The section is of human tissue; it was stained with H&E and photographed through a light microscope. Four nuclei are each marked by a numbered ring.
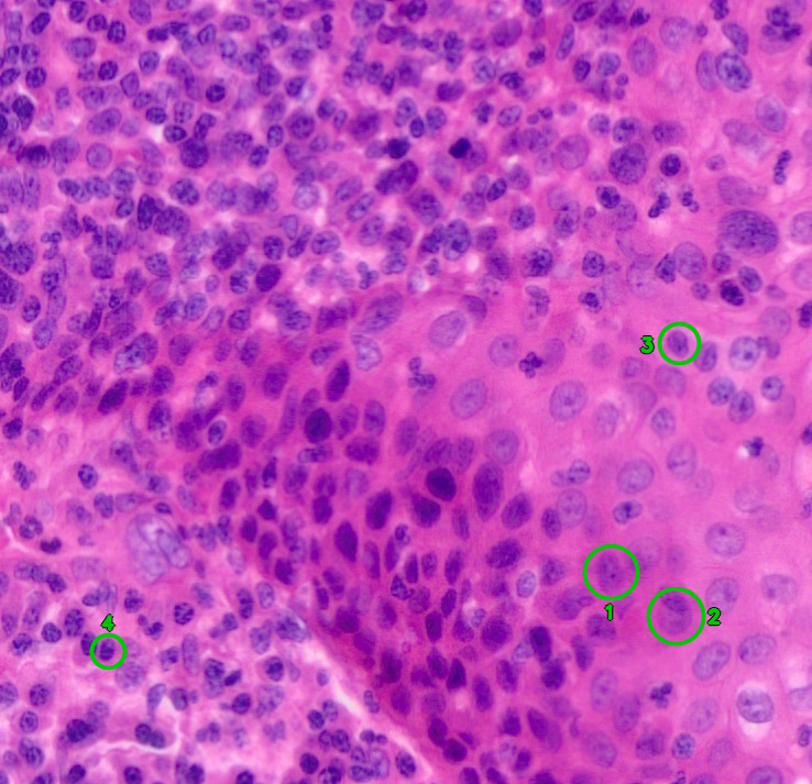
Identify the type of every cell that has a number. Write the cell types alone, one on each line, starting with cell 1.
squamous epithelial cell
squamous epithelial cell
squamous epithelial cell
plasma cell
